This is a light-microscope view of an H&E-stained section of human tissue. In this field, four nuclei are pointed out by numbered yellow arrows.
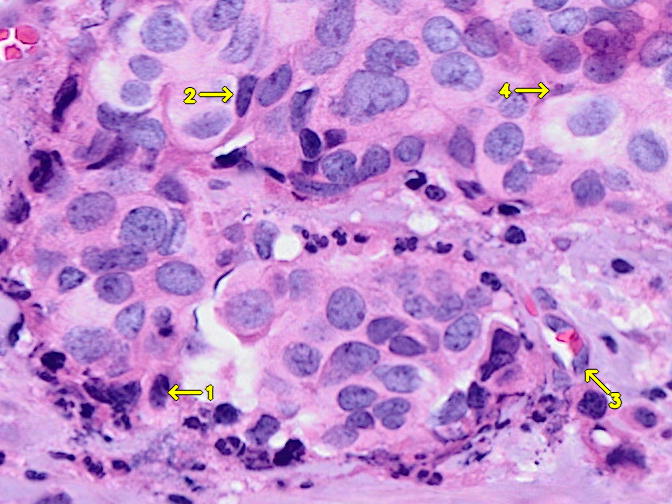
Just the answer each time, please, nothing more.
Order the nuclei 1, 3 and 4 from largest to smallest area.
1, 3, 4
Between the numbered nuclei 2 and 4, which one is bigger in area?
2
